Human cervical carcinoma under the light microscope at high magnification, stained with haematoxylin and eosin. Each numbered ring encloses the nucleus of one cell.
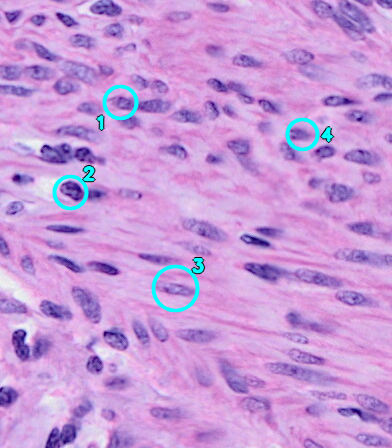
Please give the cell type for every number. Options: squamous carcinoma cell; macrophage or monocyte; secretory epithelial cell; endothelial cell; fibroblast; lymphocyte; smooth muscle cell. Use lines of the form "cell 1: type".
cell 1: smooth muscle cell
cell 2: lymphocyte
cell 3: smooth muscle cell
cell 4: smooth muscle cell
